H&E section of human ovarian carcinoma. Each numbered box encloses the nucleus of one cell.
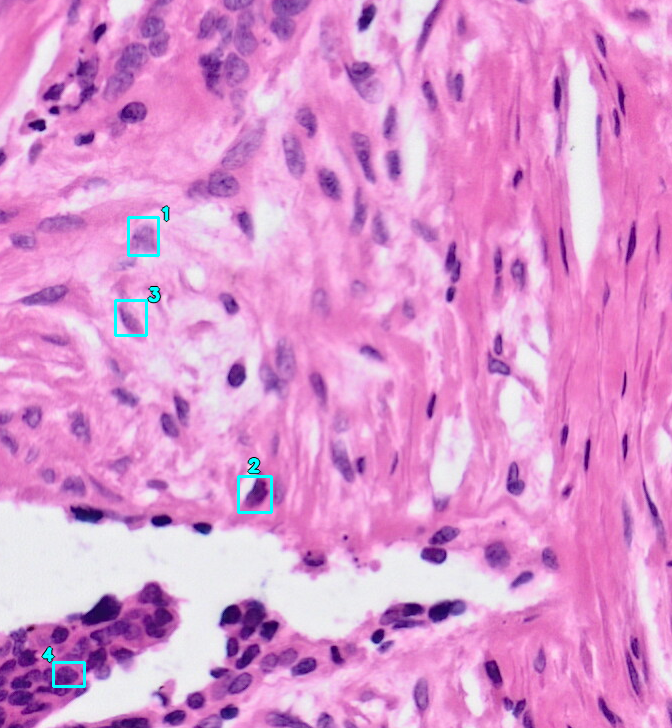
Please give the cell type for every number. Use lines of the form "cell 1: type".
cell 1: fibroblast
cell 2: fibroblast
cell 3: fibroblast
cell 4: carcinoma cell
